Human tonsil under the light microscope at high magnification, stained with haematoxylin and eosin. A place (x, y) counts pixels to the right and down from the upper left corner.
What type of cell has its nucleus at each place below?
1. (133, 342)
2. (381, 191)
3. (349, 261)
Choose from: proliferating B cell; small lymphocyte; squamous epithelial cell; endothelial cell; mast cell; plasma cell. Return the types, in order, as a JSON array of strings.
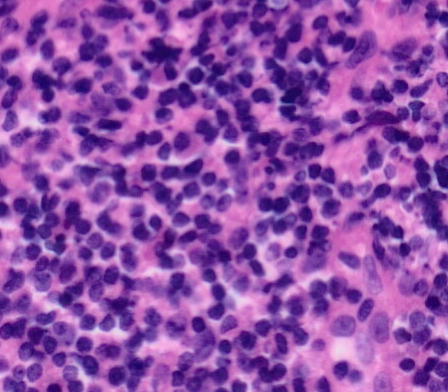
["small lymphocyte", "small lymphocyte", "endothelial cell"]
